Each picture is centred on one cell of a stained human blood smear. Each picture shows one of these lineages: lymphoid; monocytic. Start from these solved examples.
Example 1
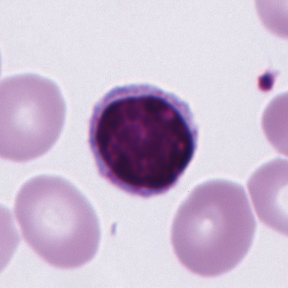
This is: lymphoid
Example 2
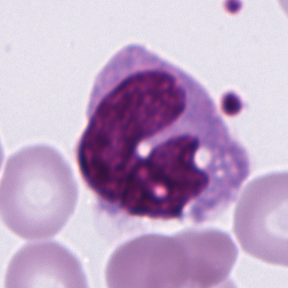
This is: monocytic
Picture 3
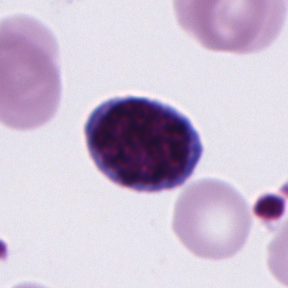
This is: lymphoid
